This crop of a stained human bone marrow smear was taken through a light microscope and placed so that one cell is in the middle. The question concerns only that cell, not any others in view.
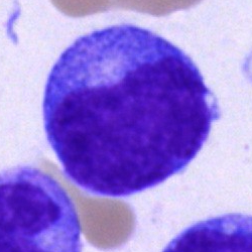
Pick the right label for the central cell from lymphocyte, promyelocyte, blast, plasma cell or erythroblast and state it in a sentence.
Regarding the central cell, it is a blast.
